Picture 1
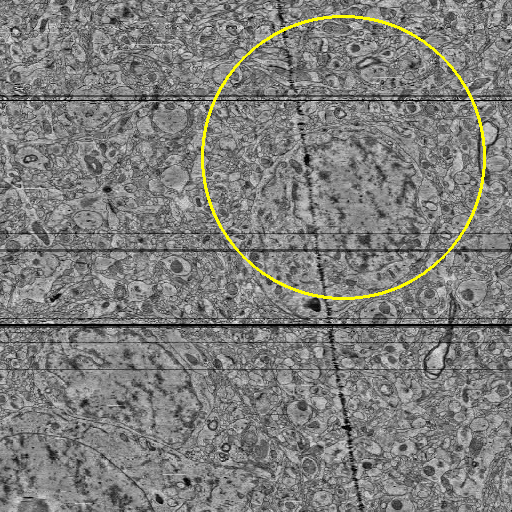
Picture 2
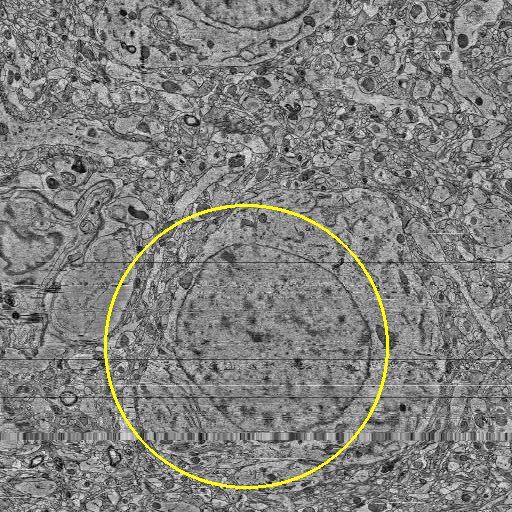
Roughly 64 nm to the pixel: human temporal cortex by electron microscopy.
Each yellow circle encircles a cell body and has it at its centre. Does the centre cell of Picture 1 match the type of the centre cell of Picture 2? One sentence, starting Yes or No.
No, the cell centred in Picture 1 and the one in Picture 2 have separate types.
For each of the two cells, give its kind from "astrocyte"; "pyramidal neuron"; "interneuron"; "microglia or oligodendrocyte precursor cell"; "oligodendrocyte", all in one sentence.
The first picture has an interneuron in its ring, the second has a pyramidal neuron.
